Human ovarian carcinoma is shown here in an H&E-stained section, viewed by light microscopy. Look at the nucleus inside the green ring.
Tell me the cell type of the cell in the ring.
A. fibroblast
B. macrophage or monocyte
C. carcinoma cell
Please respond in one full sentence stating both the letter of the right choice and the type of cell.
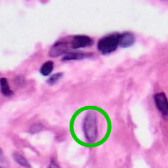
The proper choice here is A: the cell in the ring is a fibroblast.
